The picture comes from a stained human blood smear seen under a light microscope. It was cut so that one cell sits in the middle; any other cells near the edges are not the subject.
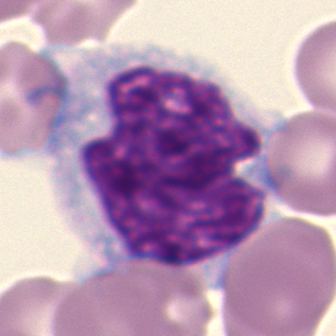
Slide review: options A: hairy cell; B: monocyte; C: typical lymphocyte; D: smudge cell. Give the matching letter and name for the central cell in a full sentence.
Here the central cell is a monocyte, and option B is correct.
